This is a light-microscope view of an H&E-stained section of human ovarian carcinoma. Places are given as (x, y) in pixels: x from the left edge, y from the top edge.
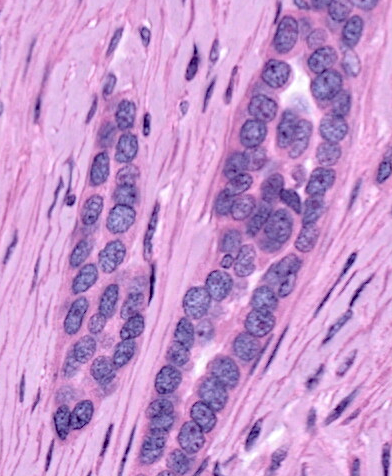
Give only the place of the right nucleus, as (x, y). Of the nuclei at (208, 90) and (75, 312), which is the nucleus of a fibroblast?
(208, 90)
